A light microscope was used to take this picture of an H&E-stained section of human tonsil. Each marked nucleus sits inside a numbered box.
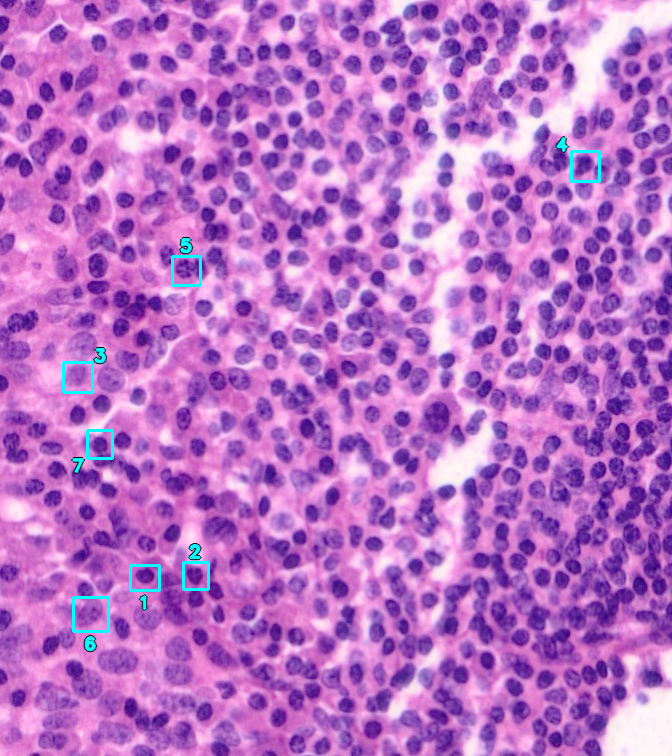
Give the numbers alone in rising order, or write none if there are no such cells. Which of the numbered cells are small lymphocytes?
4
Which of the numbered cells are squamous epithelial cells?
3, 6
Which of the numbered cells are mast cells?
none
